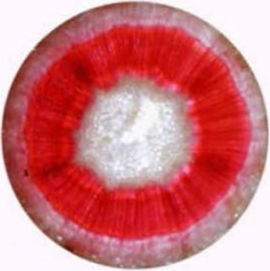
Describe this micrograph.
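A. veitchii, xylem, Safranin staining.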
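A round cross section of a young conifer branch: a pale central pith of rounded cells is surrounded by a broad ring of wood made of fine radial files of cells, and that in turn by a thin outer bark. Nearly the whole wood ring is stained bright red, with a few dark radial streaks and faint ring boundaries. The pith is white and unstained. The outer rim of the section, around the wood, is pale pinkish-white. The wood is evenly coloured from the pith to the bark with no large unstained sector.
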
